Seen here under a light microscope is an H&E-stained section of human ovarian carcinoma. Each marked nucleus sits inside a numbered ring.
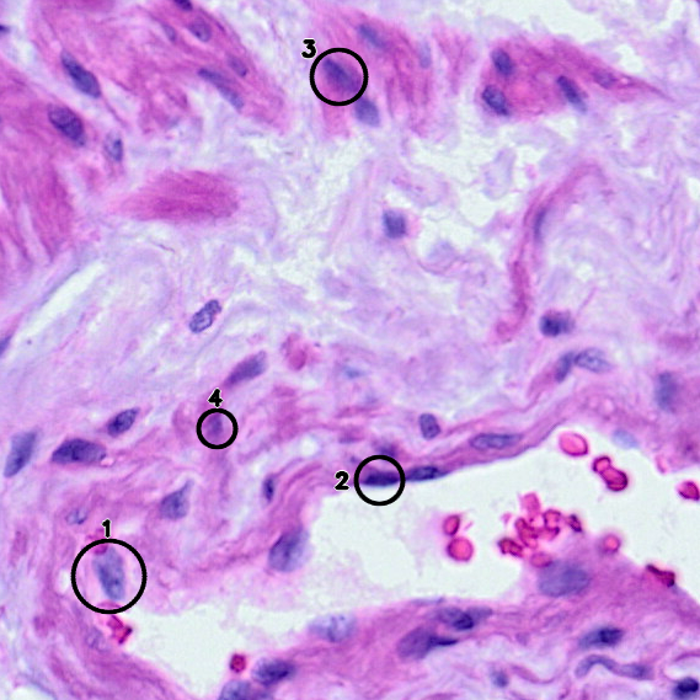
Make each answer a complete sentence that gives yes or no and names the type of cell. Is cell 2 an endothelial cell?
Yes, the cell with its nucleus marked 2 is an endothelial cell.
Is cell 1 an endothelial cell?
Yes, in this tissue section, number 1 is an endothelial cell.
